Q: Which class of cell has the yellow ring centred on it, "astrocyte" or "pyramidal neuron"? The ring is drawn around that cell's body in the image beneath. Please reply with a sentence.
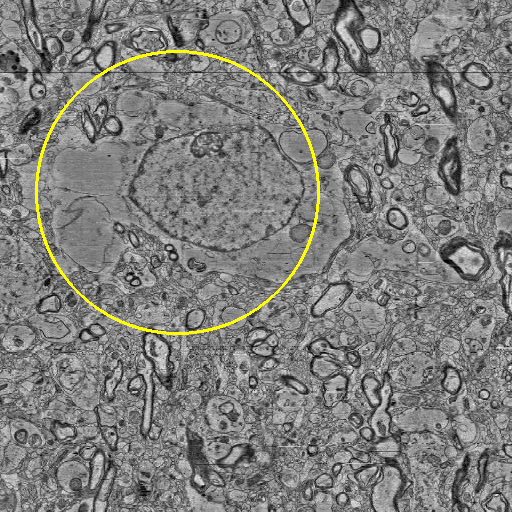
It is centred on an astrocyte.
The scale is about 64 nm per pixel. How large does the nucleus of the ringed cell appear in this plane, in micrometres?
Roughly 11 by 9 micrometres in this plane, for the nucleus of the ringed cell.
